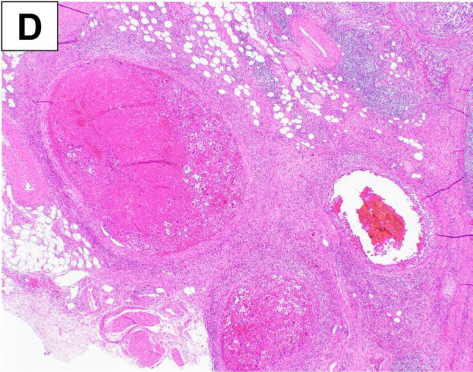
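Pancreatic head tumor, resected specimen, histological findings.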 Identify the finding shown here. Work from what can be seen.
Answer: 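Large round vessel profiles are filled with pink solid material instead of an open lumen. The filled vessels lie in fat and fibrous tissue beside an open vessel containing blood. The answer: vascular invasion.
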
